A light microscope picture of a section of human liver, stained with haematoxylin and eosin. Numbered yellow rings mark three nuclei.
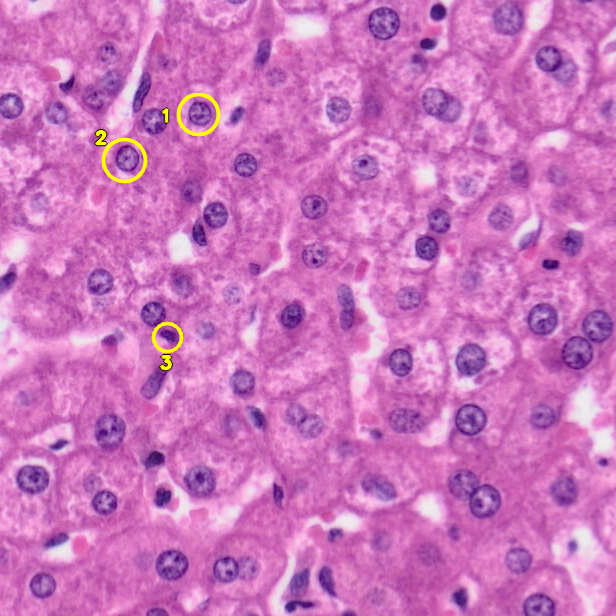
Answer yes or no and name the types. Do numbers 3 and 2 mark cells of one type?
No, cell 3 is a fibroblast or stellate cell and cell 2 is a hepatocyte.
